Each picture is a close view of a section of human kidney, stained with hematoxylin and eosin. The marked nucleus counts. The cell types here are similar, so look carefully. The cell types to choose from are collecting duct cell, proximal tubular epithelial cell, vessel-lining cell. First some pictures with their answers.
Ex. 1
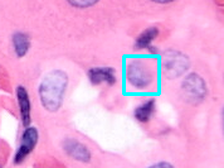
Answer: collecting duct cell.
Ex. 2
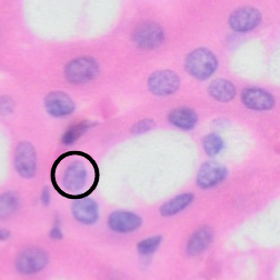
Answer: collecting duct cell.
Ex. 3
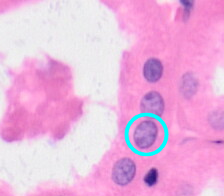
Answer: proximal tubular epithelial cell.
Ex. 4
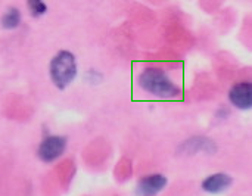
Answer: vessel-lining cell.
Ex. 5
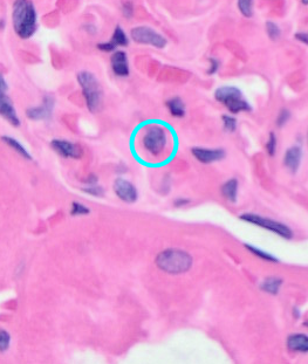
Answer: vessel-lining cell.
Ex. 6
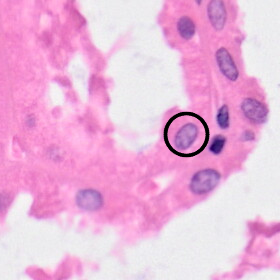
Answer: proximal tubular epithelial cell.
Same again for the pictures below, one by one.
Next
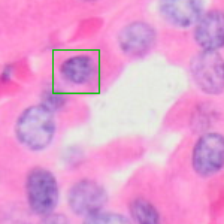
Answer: collecting duct cell.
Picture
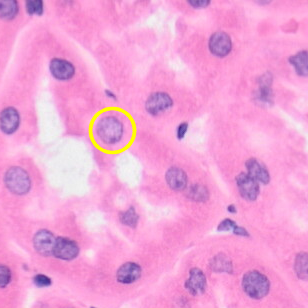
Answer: proximal tubular epithelial cell.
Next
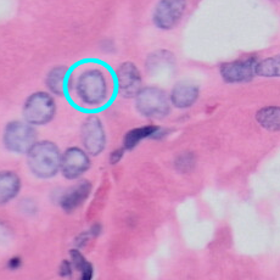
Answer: collecting duct cell.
